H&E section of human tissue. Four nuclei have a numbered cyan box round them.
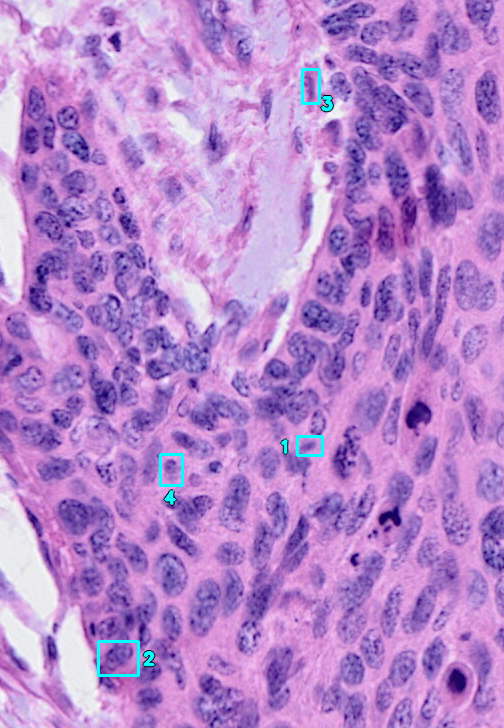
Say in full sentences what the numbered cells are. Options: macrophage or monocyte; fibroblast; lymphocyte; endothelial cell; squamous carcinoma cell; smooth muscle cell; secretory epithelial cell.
Cell 1 is a squamous carcinoma cell, cell 2 is a squamous carcinoma cell, cell 3 is a fibroblast and cell 4 is a squamous carcinoma cell.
